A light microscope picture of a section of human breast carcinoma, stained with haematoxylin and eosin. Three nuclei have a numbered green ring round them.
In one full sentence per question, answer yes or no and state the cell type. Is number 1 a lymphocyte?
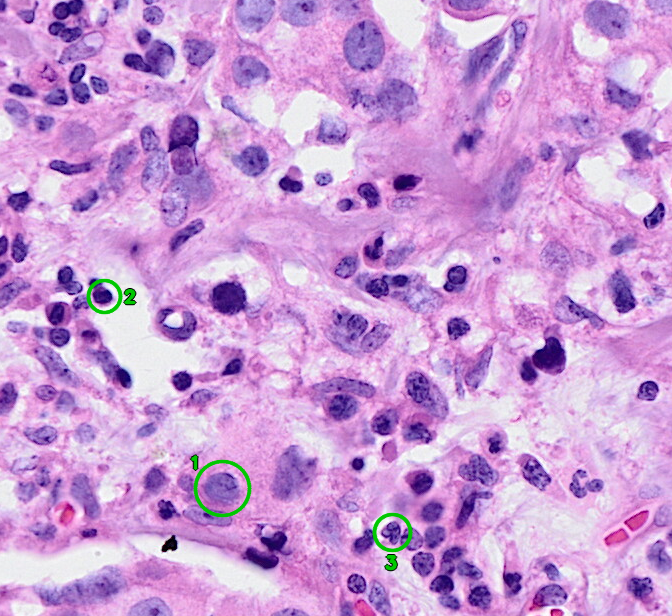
No, cell 1 should be read as a carcinoma cell instead of a lymphocyte.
